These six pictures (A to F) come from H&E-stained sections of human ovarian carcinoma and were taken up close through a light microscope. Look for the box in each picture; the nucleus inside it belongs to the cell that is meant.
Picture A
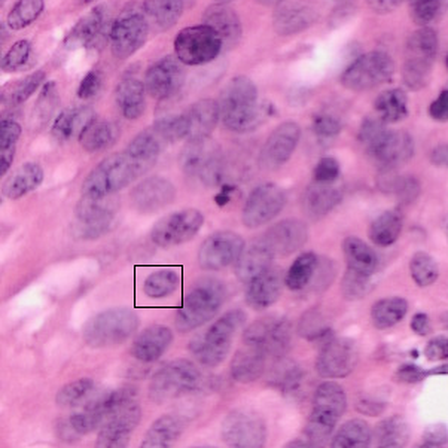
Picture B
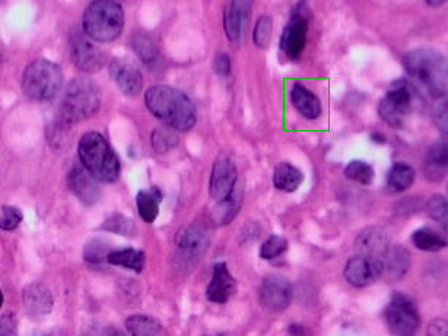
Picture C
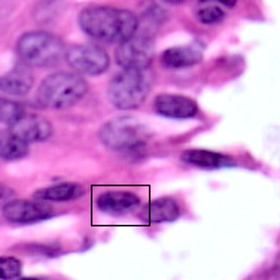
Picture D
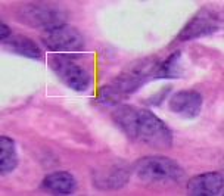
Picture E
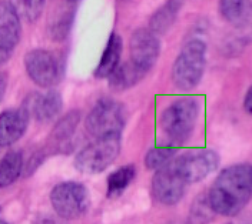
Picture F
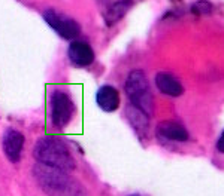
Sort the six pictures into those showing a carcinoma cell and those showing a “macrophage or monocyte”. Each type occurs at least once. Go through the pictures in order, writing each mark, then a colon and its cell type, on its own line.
A: macrophage or monocyte
B: macrophage or monocyte
C: macrophage or monocyte
D: carcinoma cell
E: carcinoma cell
F: carcinoma cell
